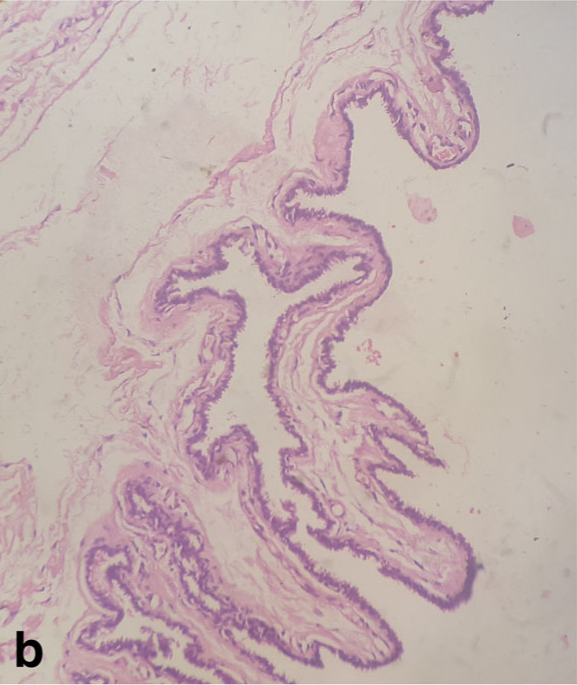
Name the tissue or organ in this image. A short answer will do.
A: Ciliated pseudostratified columnar epithelium.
